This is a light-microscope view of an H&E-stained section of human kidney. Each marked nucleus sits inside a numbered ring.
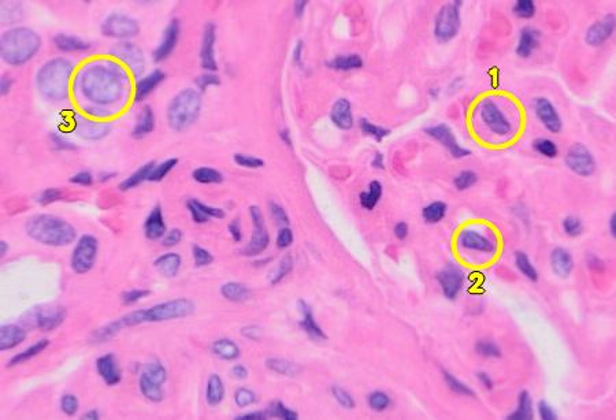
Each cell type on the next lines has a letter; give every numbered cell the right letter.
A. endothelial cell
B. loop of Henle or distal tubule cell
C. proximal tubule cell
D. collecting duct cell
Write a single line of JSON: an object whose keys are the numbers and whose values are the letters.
{"1": "A", "2": "A", "3": "D"}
